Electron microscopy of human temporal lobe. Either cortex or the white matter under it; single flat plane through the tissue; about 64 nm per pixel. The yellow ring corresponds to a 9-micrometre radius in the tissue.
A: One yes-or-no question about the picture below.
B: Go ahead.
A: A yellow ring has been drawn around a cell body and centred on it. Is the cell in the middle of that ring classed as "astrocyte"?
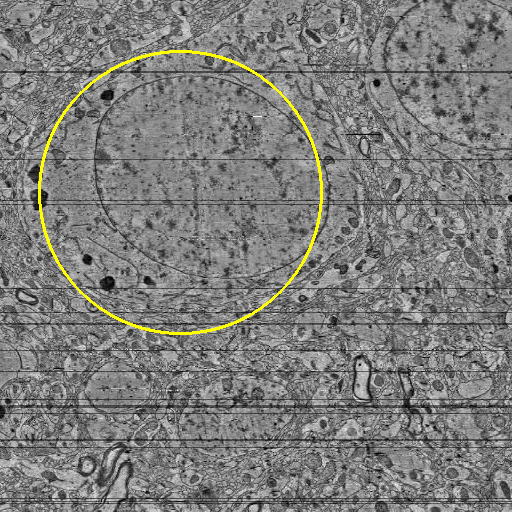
No, it is classed as another kind.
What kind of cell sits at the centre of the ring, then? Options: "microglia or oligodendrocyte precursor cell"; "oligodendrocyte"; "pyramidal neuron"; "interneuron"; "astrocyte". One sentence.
That cell in the ring is a pyramidal neuron instead.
